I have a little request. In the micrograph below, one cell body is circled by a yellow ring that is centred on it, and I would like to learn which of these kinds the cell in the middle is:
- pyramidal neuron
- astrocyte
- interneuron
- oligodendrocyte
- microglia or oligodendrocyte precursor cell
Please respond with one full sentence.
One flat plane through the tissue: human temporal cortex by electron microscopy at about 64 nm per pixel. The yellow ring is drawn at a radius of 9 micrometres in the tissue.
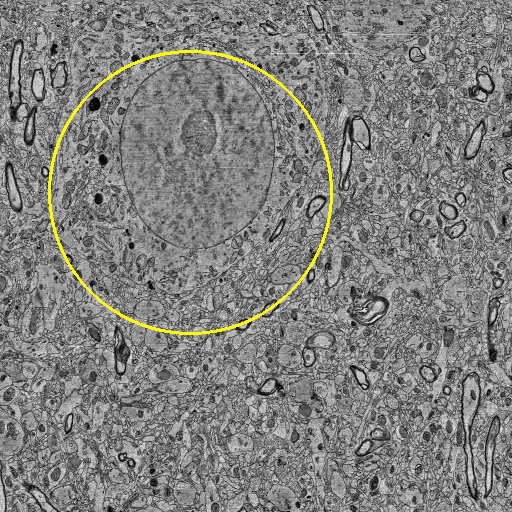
The cell sitting in the middle of the yellow ring in the micrograph is an interneuron.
